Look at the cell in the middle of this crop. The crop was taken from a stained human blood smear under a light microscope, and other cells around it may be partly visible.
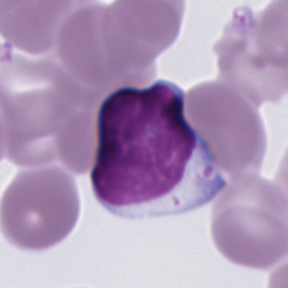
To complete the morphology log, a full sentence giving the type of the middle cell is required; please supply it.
Centrally within this crop lies a large granular lymphocyte.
